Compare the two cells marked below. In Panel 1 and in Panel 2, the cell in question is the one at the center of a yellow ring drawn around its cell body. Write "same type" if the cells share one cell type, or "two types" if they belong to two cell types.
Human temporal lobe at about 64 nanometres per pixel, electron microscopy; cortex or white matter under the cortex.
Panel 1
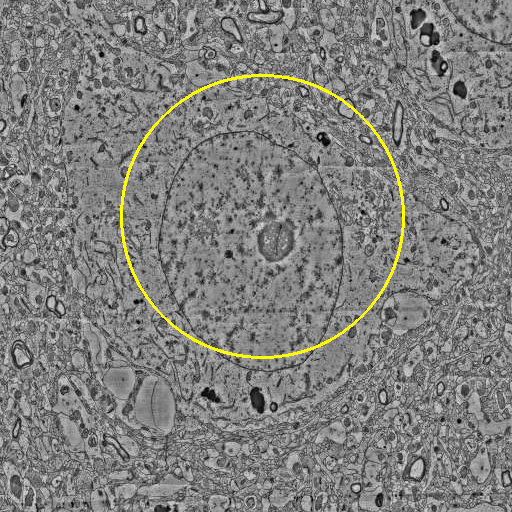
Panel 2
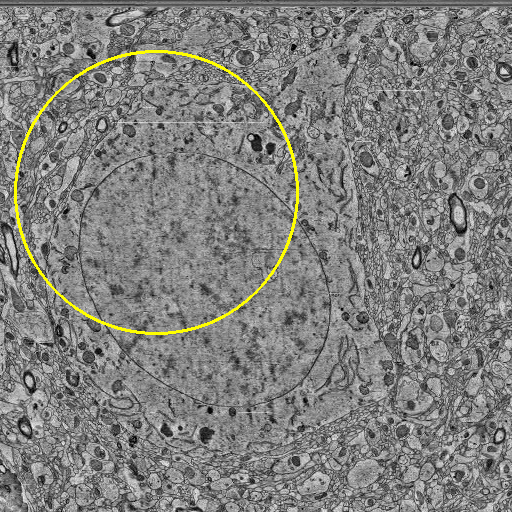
same type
